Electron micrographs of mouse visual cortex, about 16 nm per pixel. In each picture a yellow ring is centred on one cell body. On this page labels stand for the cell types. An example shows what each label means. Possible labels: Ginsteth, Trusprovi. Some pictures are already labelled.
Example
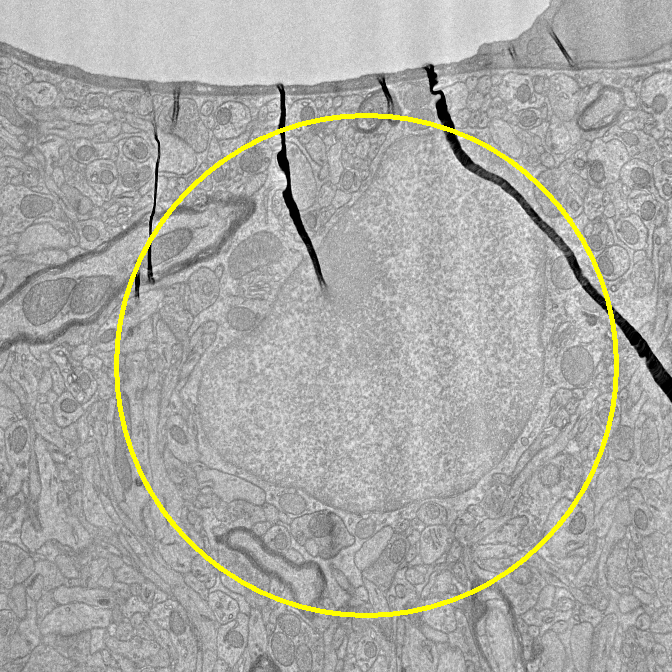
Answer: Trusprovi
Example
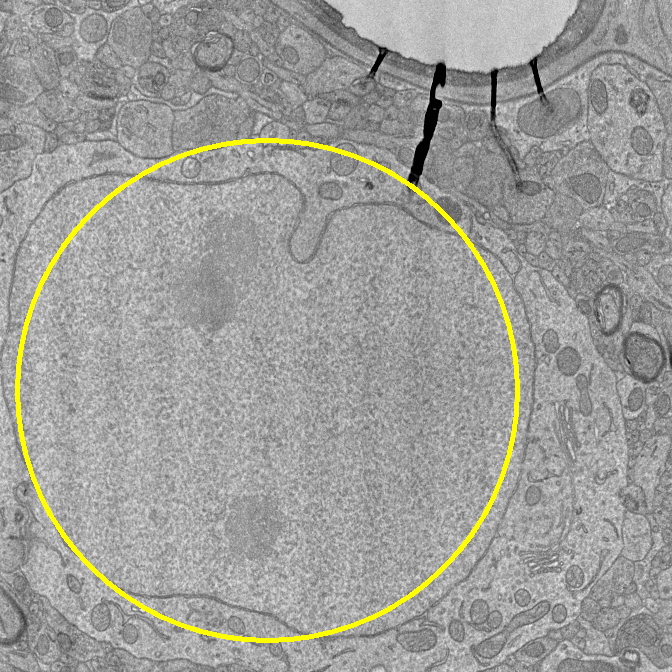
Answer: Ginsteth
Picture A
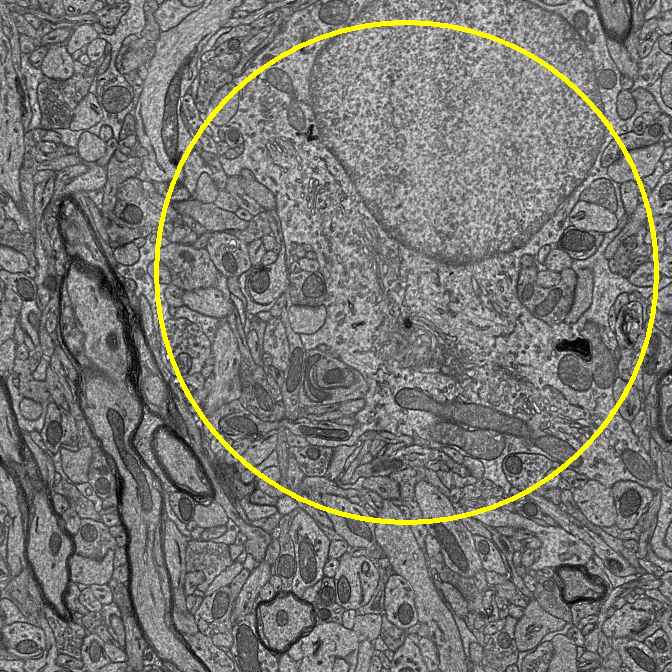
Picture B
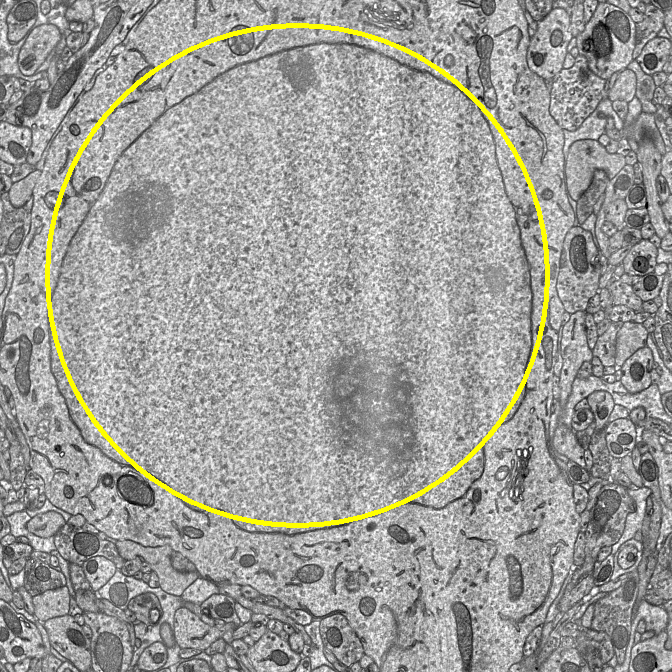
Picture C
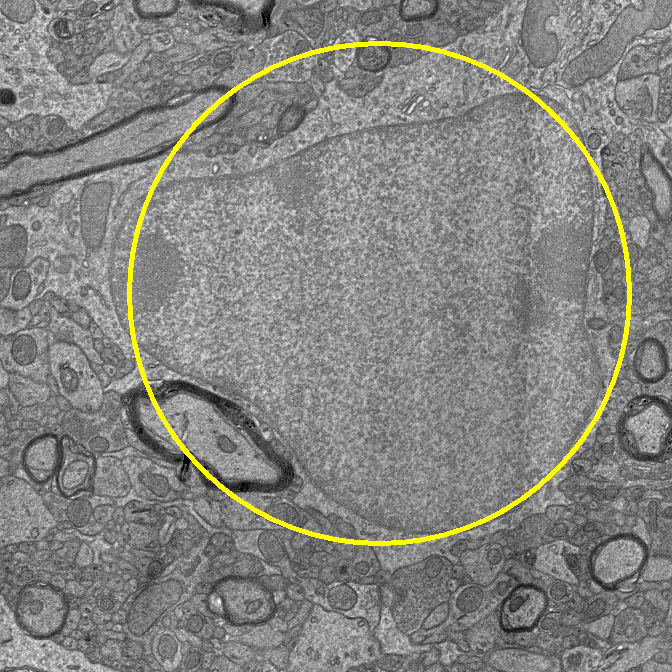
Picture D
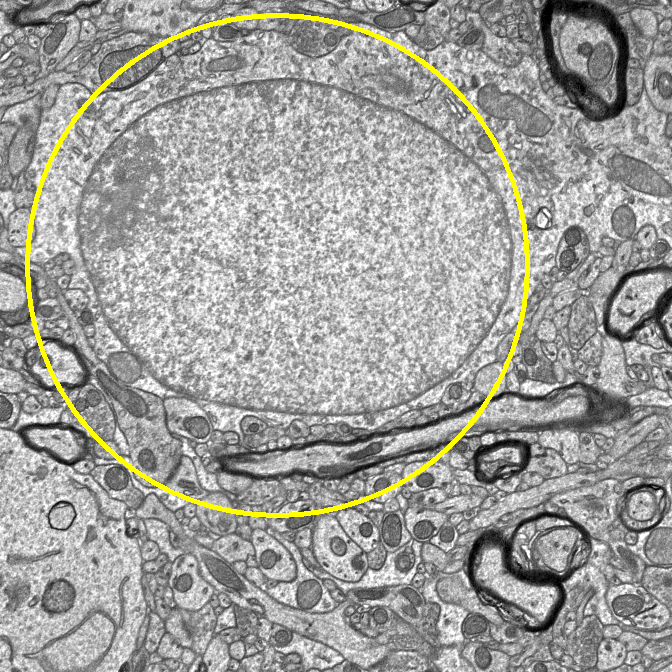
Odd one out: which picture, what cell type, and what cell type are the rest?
Different: B, Ginsteth. Others: Trusprovi.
